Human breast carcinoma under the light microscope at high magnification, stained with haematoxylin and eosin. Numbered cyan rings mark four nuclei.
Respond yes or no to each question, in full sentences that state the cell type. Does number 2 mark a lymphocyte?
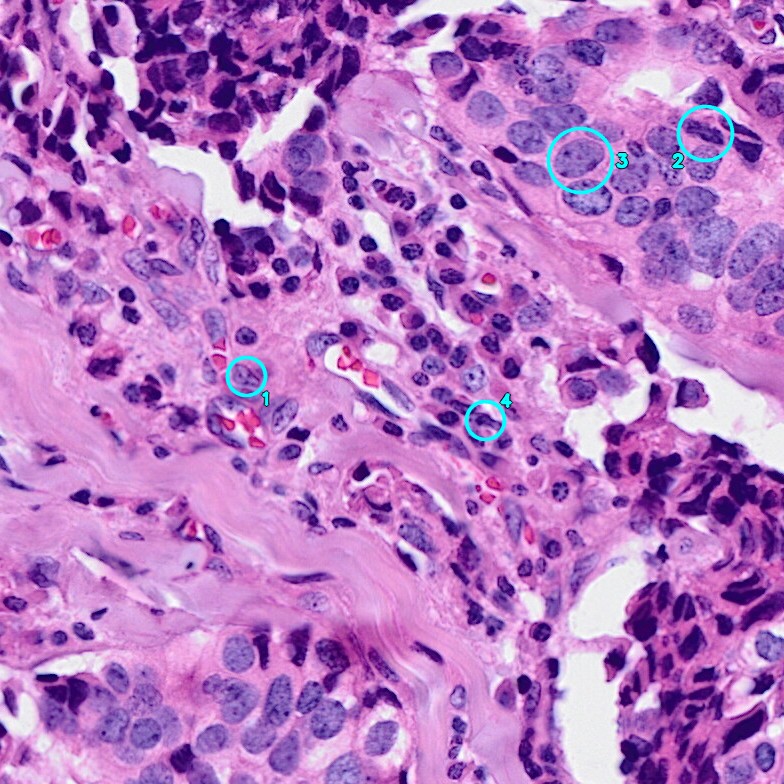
No, the cell with number 2 is not a lymphocyte but a carcinoma cell.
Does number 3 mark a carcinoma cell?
Yes, the cell that bears the number 3 is a carcinoma cell.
